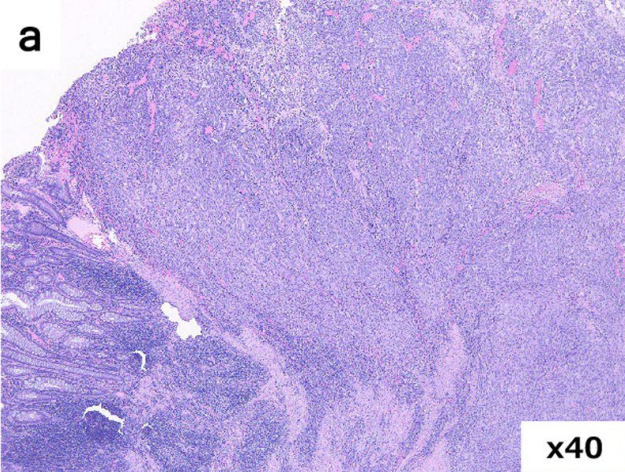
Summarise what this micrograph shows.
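At low power a large, densely cellular tumour mass occupies most of the field, forming solid sheets and nodules of purple-staining cells. Residual glandular mucosa with crypts and lymphoid tissue lies at the lower left beside the tumour.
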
